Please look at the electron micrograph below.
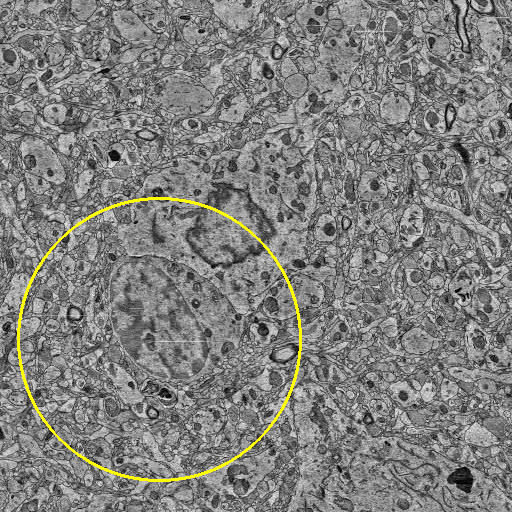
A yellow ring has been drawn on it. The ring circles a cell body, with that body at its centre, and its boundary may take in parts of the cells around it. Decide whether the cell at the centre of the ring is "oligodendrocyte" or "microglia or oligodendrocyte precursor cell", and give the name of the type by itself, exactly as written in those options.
oligodendrocyte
